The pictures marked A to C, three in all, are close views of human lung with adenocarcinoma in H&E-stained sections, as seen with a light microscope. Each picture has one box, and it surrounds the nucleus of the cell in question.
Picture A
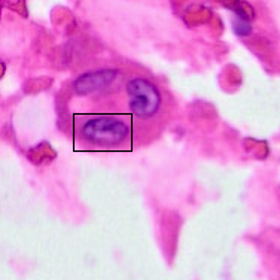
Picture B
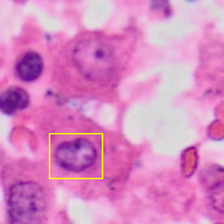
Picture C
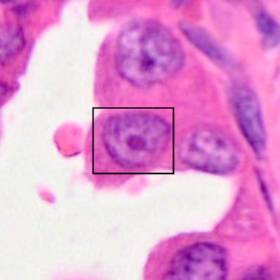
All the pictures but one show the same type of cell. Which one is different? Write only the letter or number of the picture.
C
